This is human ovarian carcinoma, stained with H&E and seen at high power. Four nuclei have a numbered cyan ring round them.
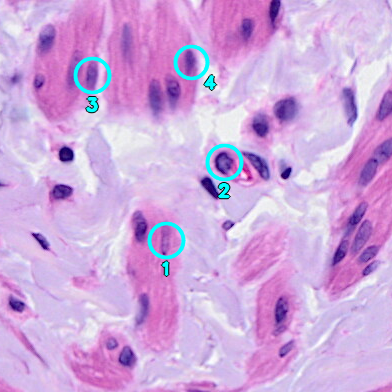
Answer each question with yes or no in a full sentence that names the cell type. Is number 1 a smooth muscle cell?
Yes, the cell indicated by number 1 is a smooth muscle cell.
